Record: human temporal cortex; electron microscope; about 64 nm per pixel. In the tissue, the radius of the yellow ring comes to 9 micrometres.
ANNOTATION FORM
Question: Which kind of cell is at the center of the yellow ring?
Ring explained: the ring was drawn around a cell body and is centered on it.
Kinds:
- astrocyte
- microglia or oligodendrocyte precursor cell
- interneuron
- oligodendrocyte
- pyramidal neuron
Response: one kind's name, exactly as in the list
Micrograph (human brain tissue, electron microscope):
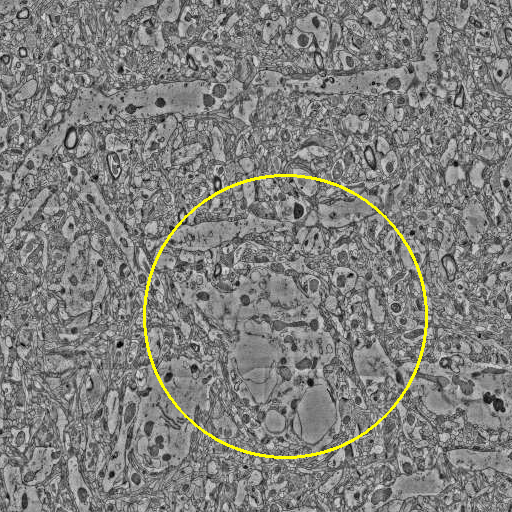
astrocyte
